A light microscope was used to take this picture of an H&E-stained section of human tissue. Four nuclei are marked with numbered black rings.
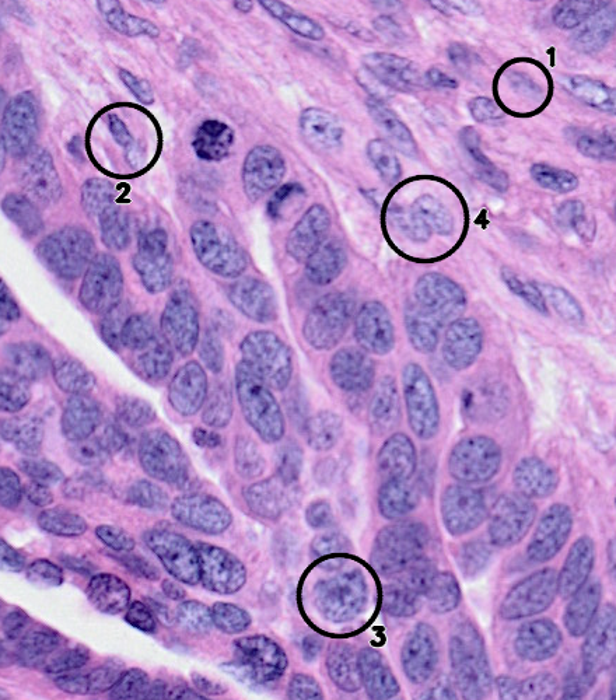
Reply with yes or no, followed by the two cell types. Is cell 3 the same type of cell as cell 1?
No, cell 3 is a carcinoma cell and cell 1 is a fibroblast.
